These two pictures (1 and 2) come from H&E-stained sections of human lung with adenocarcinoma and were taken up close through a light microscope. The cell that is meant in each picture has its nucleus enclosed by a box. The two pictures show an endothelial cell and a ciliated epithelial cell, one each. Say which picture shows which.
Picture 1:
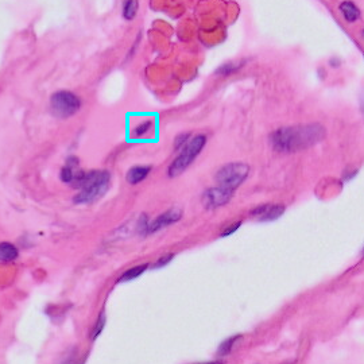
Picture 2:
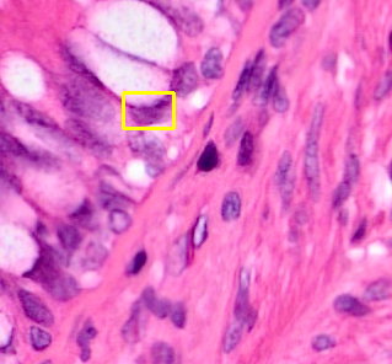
1: endothelial cell
2: ciliated epithelial cell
